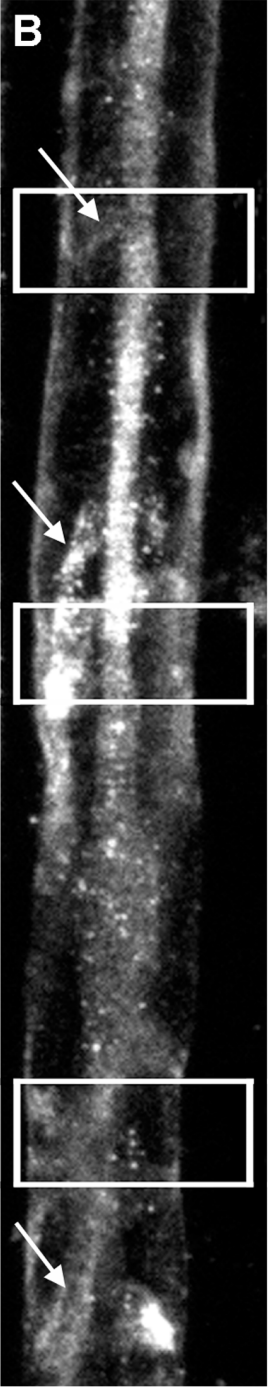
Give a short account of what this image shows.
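Outside the dark myelin sleeve, labeled cytoplasmic strands cross the fiber obliquely and seem to wind around it. These spiraling strands of outer Schwann cell cytoplasm are the bands of Cajal. Clusters of bright puncta collect where these bands gather at the edge of the fiber.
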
